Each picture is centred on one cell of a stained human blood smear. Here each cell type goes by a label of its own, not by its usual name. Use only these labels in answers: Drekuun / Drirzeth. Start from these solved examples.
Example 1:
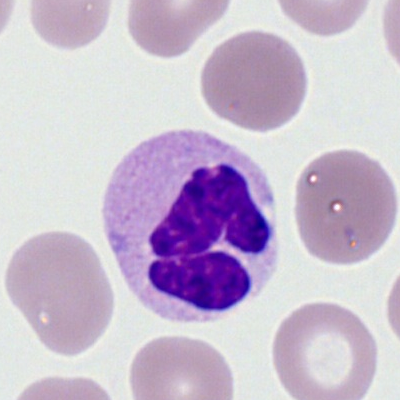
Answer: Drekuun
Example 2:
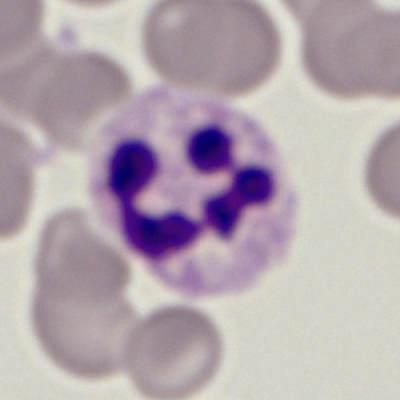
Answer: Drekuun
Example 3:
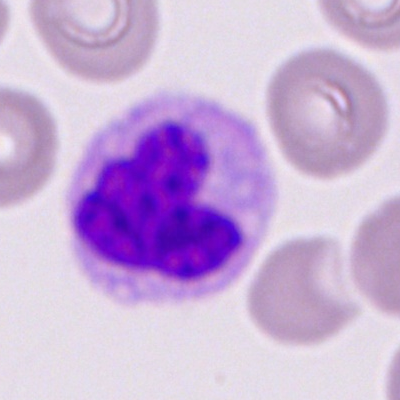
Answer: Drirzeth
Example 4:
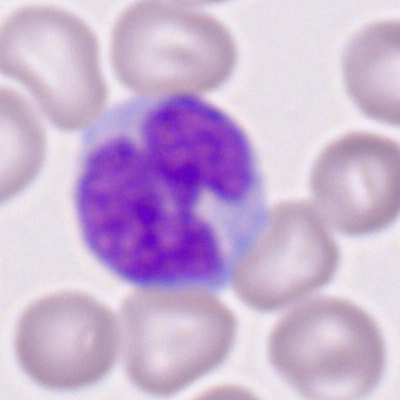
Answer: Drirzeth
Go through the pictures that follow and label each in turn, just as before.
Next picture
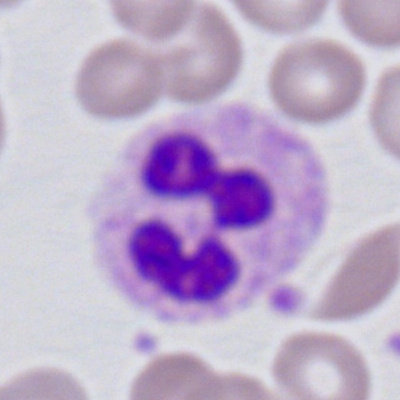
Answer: Drekuun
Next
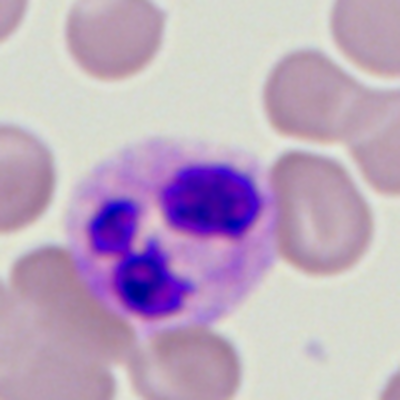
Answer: Drekuun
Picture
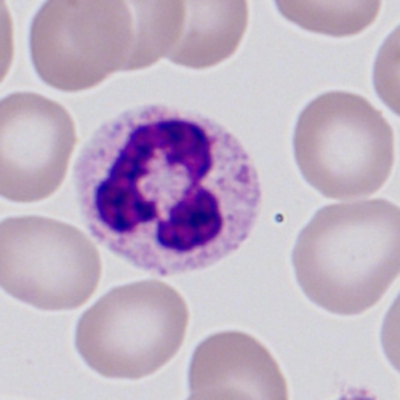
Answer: Drekuun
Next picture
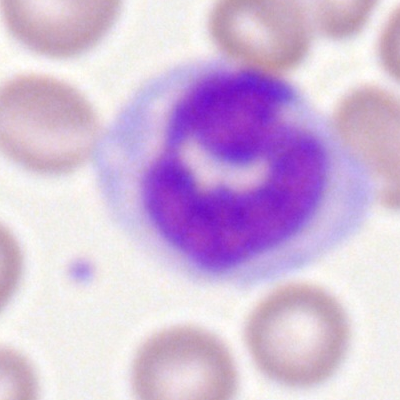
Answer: Drirzeth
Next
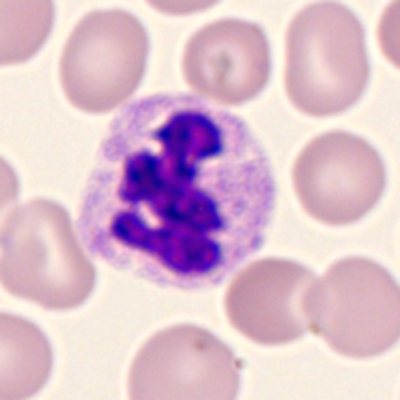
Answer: Drekuun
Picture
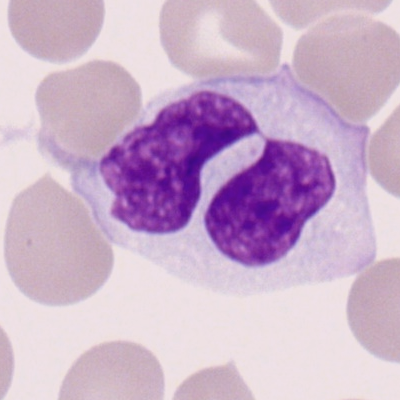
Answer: Drirzeth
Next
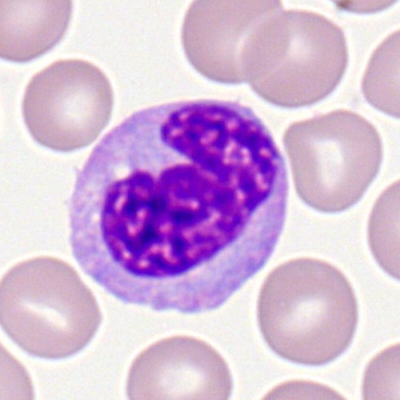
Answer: Drirzeth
